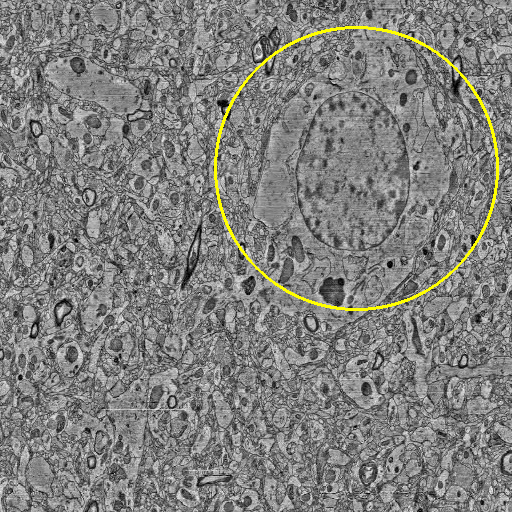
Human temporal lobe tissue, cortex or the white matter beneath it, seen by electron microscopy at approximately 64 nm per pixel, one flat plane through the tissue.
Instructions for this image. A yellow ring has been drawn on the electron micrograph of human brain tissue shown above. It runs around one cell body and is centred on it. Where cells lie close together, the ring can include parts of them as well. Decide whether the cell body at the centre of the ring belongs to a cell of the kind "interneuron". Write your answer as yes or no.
no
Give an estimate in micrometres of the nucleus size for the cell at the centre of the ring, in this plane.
Approximately 10 by 8 micrometers in this plane.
